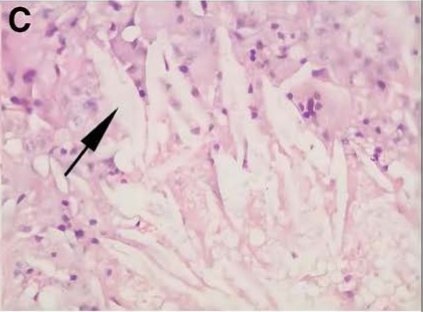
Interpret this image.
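The clefts are long and pointed and lie in radiating bundles within pale pink material. Scattered purple nuclei of cells lie between and around the clefts.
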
